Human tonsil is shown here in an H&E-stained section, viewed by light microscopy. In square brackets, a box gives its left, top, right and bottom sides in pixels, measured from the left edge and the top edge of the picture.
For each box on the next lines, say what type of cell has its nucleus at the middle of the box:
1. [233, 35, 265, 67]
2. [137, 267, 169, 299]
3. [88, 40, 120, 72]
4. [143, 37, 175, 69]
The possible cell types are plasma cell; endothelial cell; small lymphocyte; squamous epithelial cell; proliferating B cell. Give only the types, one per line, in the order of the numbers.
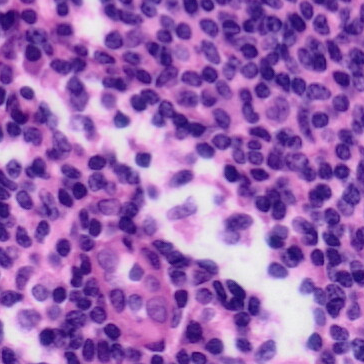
small lymphocyte
endothelial cell
small lymphocyte
small lymphocyte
